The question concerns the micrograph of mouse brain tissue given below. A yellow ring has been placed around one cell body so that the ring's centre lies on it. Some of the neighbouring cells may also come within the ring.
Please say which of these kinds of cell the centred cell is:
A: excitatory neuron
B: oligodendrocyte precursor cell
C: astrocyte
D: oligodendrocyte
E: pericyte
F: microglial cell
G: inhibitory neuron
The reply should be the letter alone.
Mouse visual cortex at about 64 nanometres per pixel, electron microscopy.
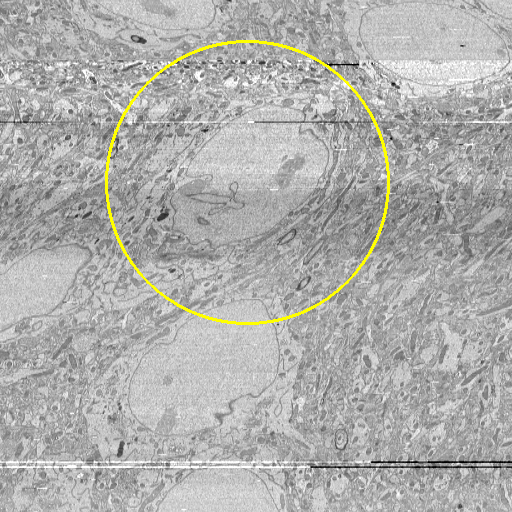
G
